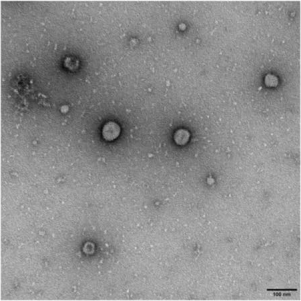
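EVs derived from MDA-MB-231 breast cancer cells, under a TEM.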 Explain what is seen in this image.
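Most are roughly the length of the scale bar or somewhat smaller, and a few tiny particles lie between them. The vesicles lie singly, apart from one another, rather than in clumps. No whole cells or cell fragments with organelles are seen, and a small patch of irregular debris sits near the upper left.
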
